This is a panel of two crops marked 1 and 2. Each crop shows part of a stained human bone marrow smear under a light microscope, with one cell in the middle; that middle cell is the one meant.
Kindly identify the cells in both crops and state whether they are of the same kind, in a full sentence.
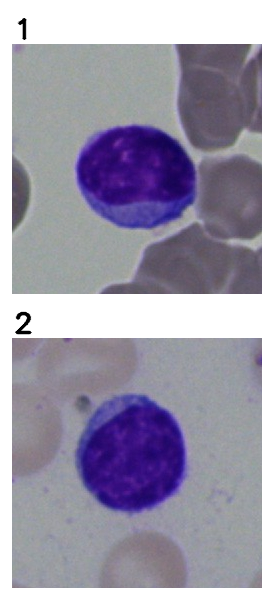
Yes, both crops contain lymphocytes at their centres.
